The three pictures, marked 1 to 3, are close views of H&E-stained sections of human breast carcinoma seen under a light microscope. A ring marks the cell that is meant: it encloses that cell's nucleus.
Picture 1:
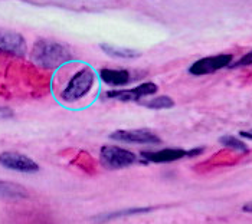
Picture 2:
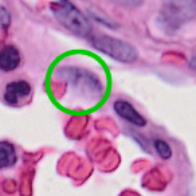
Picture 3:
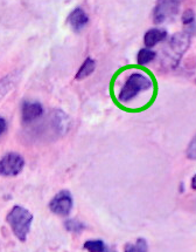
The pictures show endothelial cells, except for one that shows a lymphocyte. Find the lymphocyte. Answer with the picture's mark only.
3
